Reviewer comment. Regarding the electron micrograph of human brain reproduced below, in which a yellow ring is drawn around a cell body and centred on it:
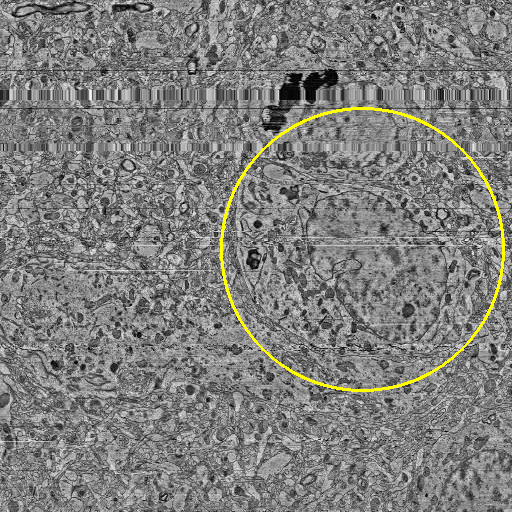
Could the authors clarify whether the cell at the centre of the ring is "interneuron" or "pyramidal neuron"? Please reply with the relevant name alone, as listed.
interneuron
